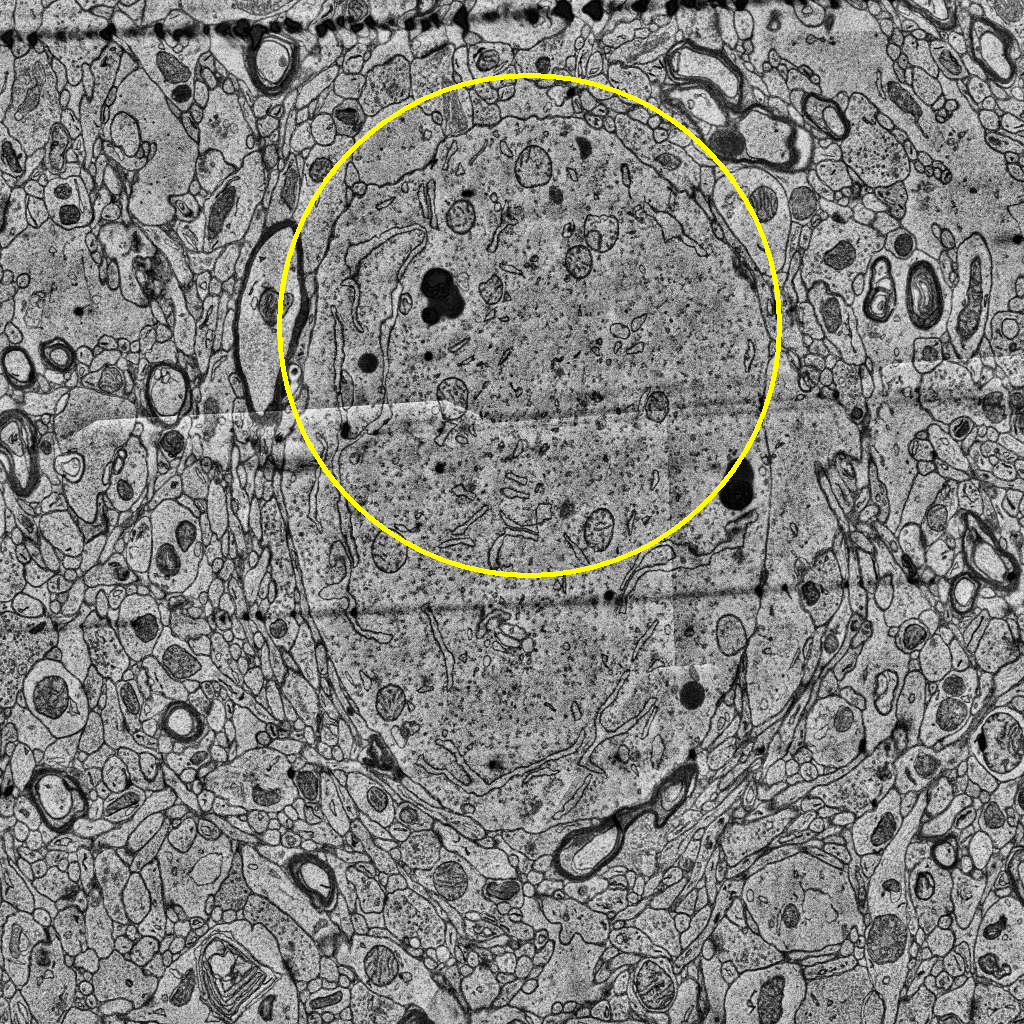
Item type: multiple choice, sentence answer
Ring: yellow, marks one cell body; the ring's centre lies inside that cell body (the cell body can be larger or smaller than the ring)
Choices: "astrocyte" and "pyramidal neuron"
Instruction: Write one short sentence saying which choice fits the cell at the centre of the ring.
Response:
The centre of this ring lies on a pyramidal neuron.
